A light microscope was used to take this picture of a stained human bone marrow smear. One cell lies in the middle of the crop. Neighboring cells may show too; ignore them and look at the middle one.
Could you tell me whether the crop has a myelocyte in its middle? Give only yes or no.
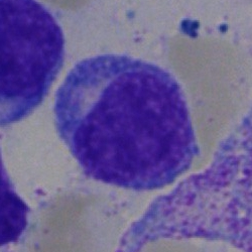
yes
